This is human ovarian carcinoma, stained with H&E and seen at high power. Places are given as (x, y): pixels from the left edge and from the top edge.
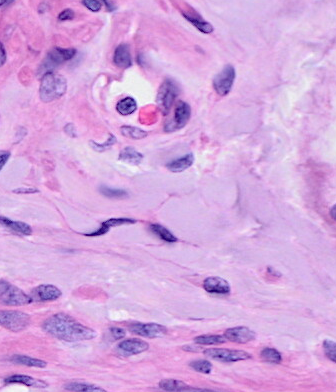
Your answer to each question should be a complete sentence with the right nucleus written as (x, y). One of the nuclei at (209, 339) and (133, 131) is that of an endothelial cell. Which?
Only the nucleus at (133, 131), of the two, belongs to an endothelial cell.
